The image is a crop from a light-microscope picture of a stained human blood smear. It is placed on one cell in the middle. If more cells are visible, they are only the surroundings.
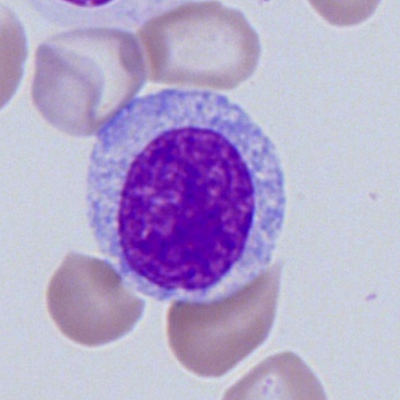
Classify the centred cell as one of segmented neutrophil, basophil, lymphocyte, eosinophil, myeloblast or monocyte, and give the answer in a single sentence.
Positioned in the middle of the crop is a monocyte.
